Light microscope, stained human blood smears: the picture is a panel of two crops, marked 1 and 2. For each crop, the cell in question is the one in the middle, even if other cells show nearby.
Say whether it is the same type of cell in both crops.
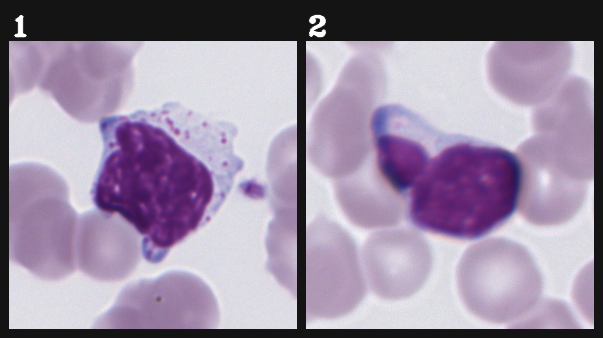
yes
